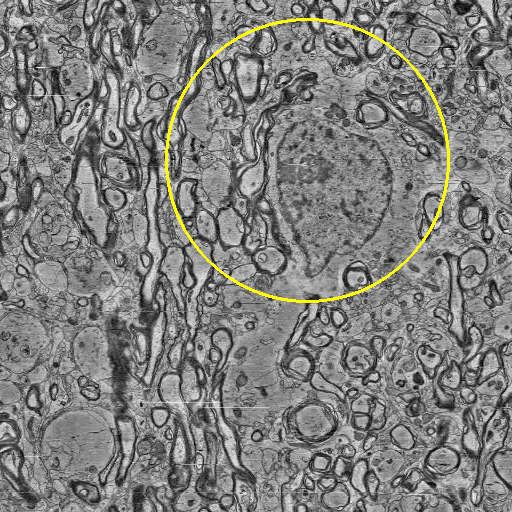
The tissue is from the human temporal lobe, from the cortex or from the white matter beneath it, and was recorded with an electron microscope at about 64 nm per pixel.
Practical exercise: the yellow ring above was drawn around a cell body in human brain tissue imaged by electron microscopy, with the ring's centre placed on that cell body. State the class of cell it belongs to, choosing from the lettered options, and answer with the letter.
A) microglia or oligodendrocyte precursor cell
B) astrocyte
B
